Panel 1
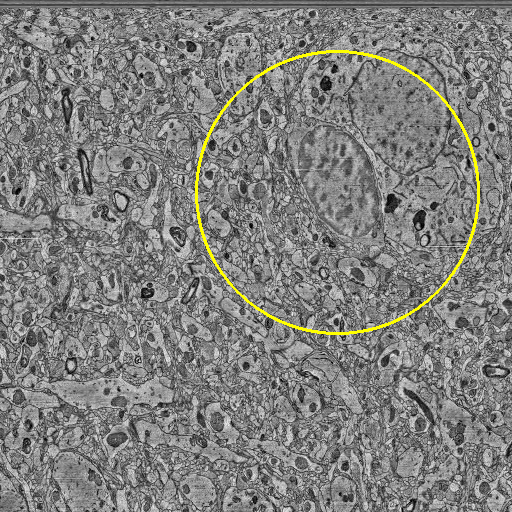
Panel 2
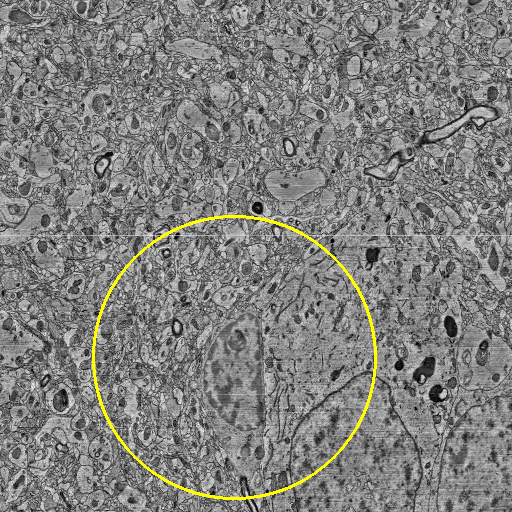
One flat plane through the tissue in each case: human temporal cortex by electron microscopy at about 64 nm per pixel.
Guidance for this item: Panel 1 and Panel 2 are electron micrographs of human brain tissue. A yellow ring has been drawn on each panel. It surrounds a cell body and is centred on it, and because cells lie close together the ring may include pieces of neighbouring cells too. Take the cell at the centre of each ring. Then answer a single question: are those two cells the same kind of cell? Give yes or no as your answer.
yes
